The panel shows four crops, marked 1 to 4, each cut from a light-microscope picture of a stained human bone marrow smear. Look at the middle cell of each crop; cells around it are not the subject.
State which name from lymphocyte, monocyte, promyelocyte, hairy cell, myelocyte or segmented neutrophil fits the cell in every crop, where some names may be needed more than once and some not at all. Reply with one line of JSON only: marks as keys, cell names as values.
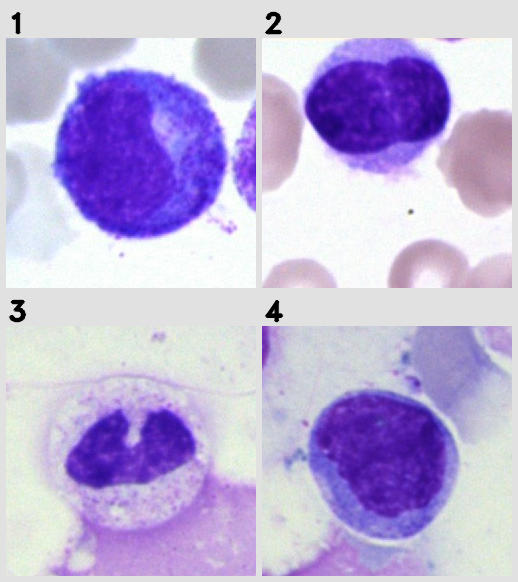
{"1": "promyelocyte", "2": "hairy cell", "3": "segmented neutrophil", "4": "monocyte"}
